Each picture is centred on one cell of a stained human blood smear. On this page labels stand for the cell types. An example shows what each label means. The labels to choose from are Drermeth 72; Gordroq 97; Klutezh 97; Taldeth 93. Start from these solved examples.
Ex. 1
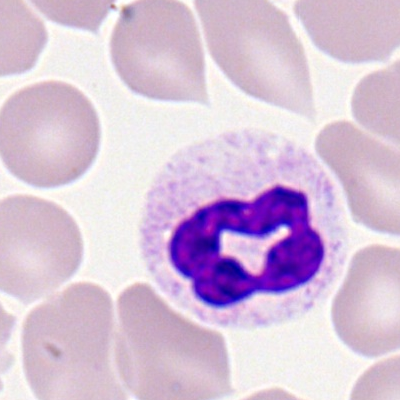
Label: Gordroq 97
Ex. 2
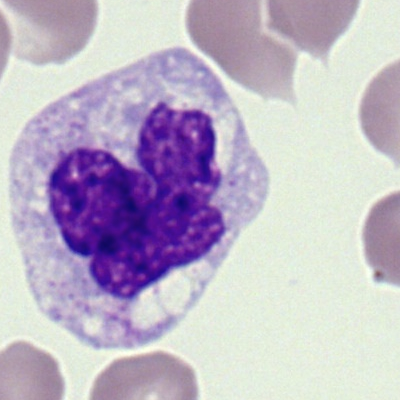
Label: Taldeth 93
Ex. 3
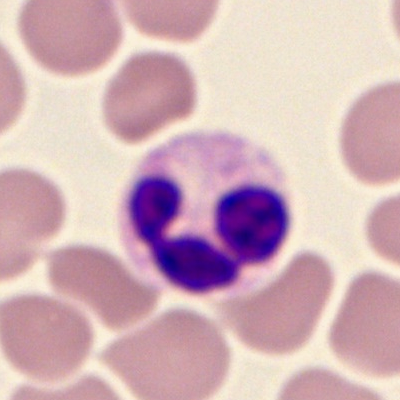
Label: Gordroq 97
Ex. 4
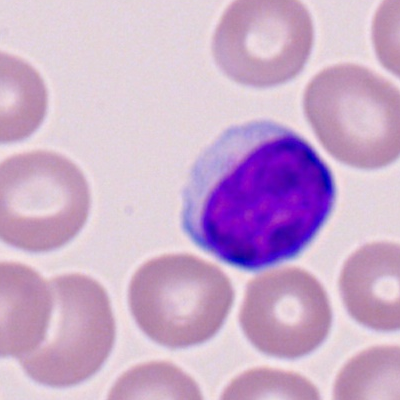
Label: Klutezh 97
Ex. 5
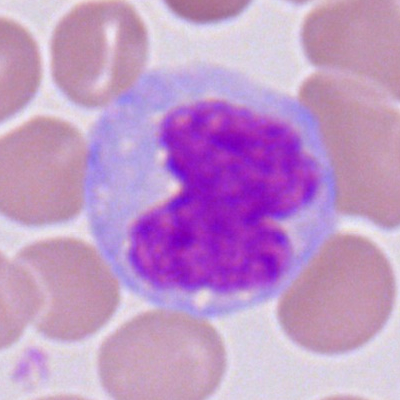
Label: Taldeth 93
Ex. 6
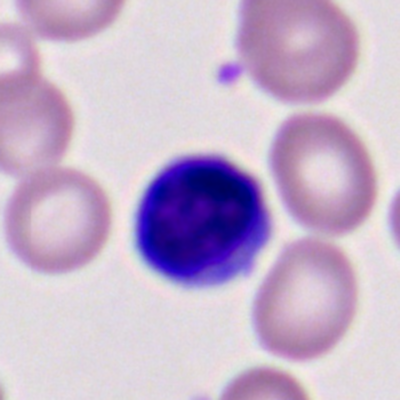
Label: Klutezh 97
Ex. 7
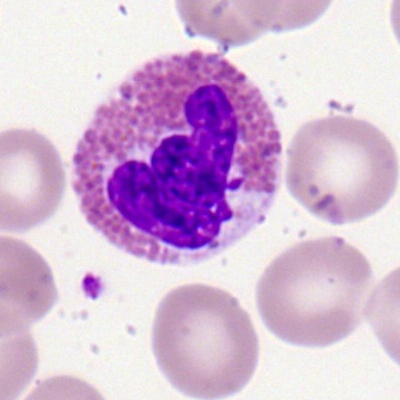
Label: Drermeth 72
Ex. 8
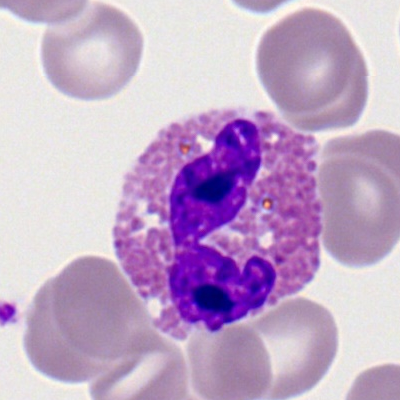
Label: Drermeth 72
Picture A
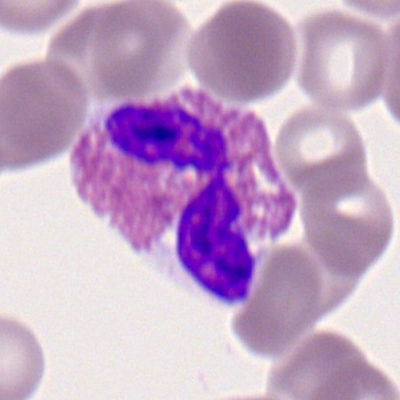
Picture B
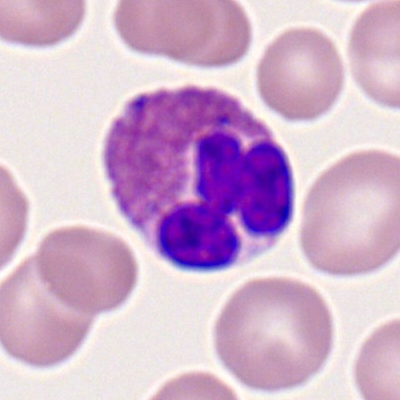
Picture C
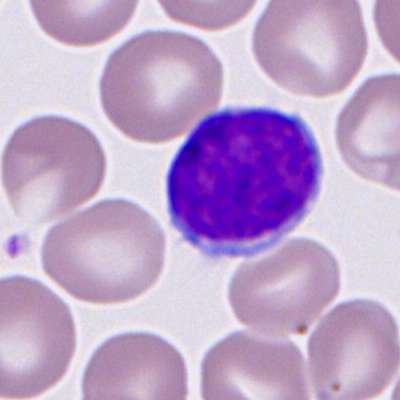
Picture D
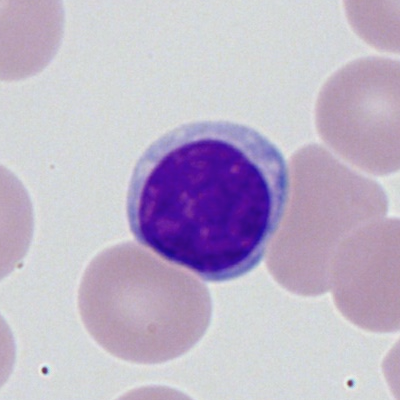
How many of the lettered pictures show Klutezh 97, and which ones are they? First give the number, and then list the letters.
2, namely C, D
